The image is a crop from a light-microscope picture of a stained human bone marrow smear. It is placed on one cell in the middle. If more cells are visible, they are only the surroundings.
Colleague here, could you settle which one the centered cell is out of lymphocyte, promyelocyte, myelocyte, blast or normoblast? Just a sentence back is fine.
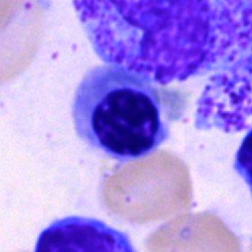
In the center of this field lies a normoblast.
